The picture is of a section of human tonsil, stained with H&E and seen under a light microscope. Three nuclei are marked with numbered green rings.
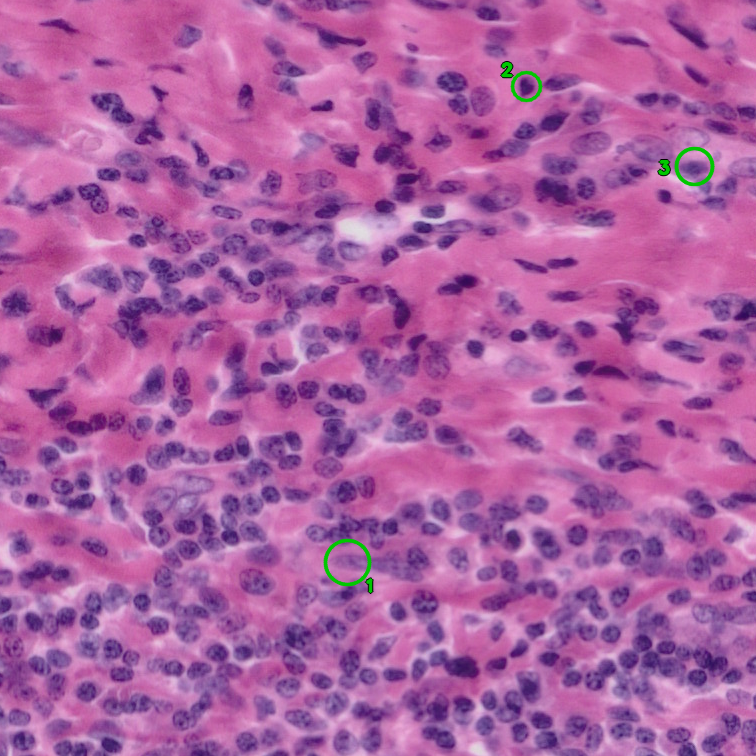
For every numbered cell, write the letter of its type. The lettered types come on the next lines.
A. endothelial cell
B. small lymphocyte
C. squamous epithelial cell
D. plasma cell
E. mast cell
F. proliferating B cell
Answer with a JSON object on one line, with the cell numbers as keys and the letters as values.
{"1": "A", "2": "E", "3": "A"}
